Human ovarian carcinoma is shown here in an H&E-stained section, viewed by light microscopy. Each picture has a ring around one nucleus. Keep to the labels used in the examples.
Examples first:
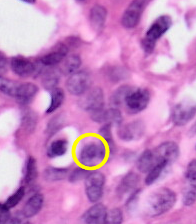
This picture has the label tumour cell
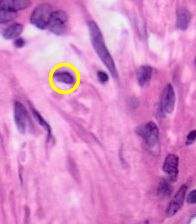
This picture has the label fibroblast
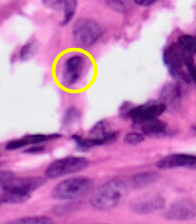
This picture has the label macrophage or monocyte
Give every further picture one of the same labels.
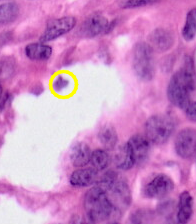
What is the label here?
tumour cell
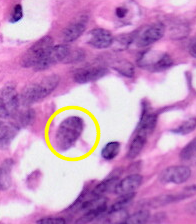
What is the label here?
tumour cell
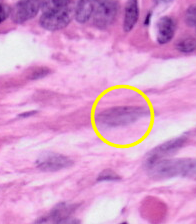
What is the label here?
fibroblast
